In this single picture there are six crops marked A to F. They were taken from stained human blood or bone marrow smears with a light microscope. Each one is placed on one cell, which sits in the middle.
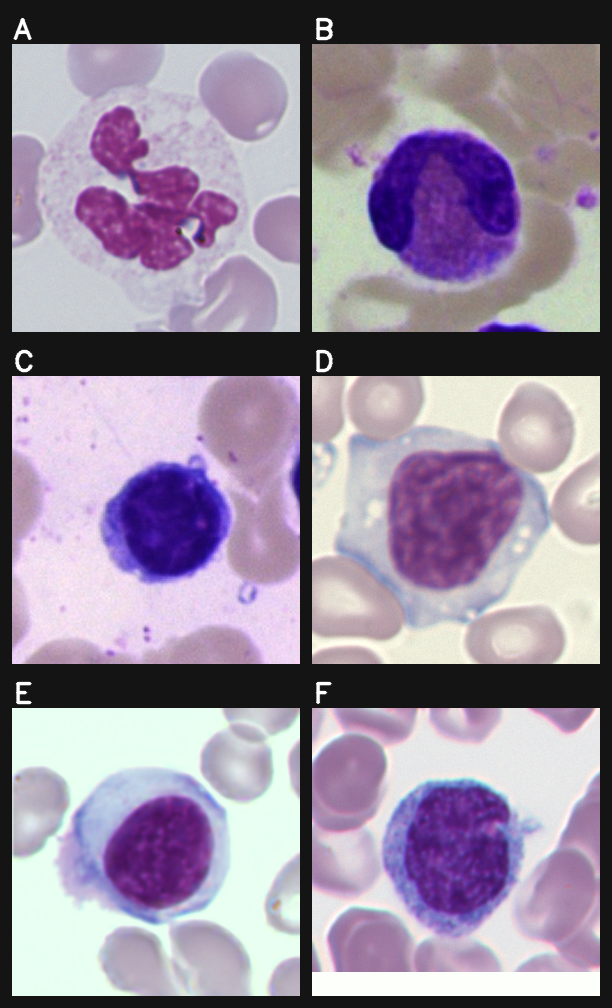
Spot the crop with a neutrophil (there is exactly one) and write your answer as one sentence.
The sole crop showing a neutrophil is crop A.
